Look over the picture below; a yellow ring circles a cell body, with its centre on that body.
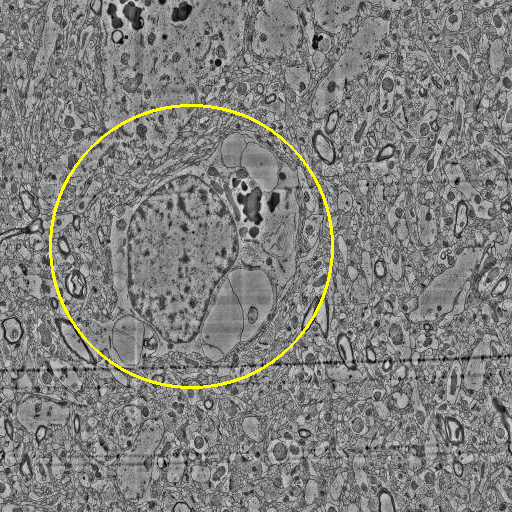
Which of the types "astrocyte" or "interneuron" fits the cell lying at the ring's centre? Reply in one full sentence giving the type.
The picture shows an astrocyte at the centre of the yellow ring.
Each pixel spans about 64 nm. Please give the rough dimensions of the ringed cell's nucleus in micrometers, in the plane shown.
The nucleus is about 11 micrometres in length and 7 in width, clearly longer than it is wide in this plane.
